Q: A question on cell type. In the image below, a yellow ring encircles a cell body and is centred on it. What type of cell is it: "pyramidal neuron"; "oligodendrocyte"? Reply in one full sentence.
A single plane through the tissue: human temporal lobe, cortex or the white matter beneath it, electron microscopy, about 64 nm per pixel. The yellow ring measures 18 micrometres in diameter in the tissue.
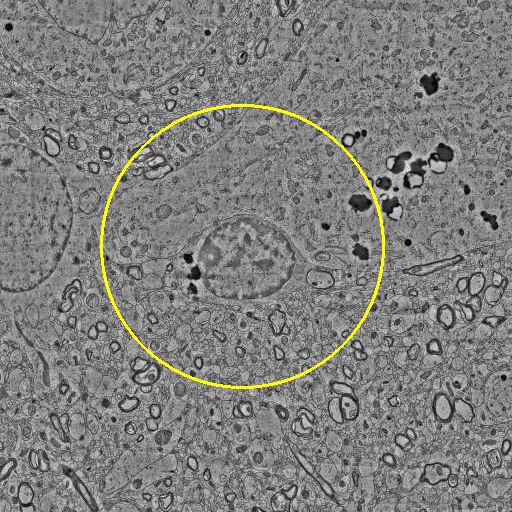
It is an oligodendrocyte whose cell body sits at the centre of the yellow ring in the image.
